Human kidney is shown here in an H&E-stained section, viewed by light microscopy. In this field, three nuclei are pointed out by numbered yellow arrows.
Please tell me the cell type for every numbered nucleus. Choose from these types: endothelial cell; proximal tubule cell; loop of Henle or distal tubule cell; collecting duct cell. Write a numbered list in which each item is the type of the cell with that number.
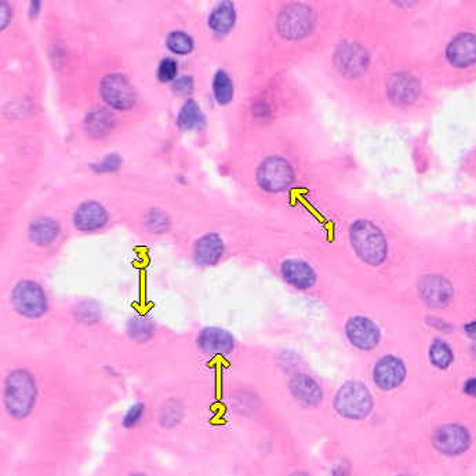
1. proximal tubule cell
2. loop of Henle or distal tubule cell
3. loop of Henle or distal tubule cell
